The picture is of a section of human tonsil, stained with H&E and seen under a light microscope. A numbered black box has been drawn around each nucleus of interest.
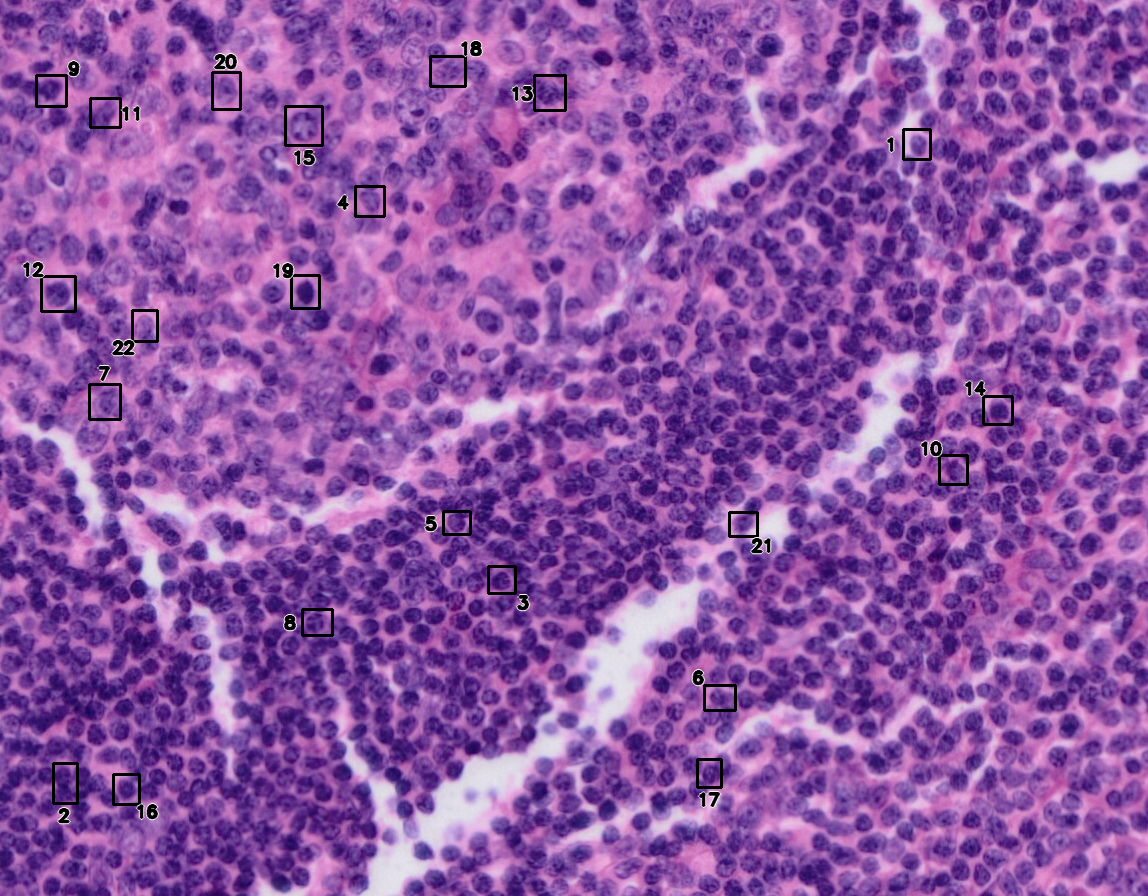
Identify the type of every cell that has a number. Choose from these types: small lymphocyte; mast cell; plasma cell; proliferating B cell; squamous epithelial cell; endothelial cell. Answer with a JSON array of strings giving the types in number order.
["small lymphocyte", "small lymphocyte", "small lymphocyte", "proliferating B cell", "small lymphocyte", "small lymphocyte", "proliferating B cell", "small lymphocyte", "proliferating B cell", "small lymphocyte", "proliferating B cell", "proliferating B cell", "proliferating B cell", "small lymphocyte", "proliferating B cell", "small lymphocyte", "small lymphocyte", "proliferating B cell", "proliferating B cell", "proliferating B cell", "small lymphocyte", "proliferating B cell"]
